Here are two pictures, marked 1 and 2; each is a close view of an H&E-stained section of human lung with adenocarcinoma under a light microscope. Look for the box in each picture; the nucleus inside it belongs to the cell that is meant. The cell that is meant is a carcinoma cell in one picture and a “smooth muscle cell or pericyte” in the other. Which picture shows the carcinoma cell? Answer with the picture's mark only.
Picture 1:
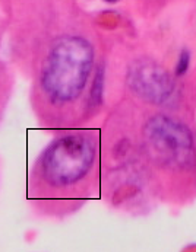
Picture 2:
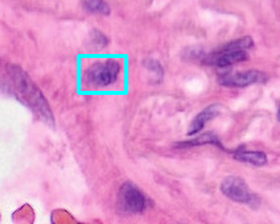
1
